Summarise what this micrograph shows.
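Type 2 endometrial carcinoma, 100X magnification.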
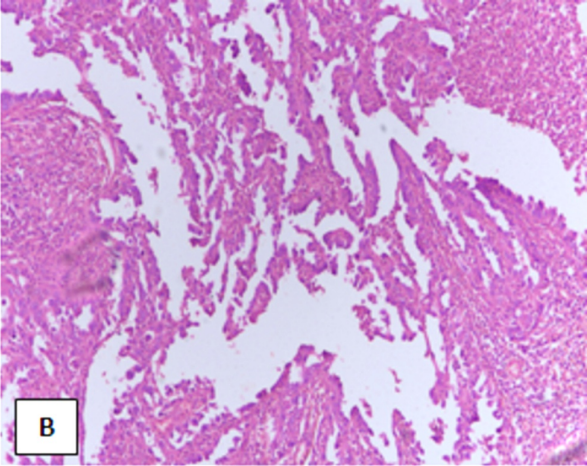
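Tumor tissue is arranged in numerous slender, branching papillary fronds separated by clear spaces. The fronds are lined by crowded cells with dark purple nuclei and pink cytoplasm. At the edges of the field the tumor forms more solid, densely cellular areas. Small detached fragments of tumor lie free in the spaces.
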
